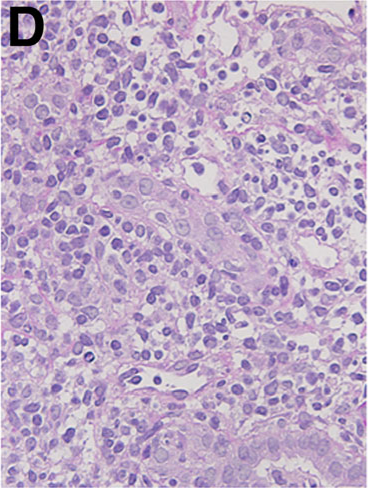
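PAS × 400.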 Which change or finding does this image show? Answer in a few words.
infiltration of mononuclear cells in the interstitium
